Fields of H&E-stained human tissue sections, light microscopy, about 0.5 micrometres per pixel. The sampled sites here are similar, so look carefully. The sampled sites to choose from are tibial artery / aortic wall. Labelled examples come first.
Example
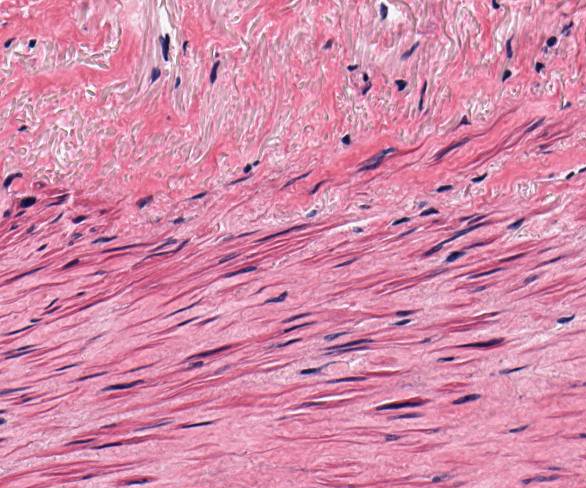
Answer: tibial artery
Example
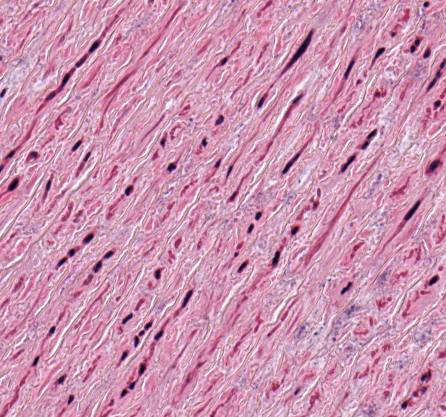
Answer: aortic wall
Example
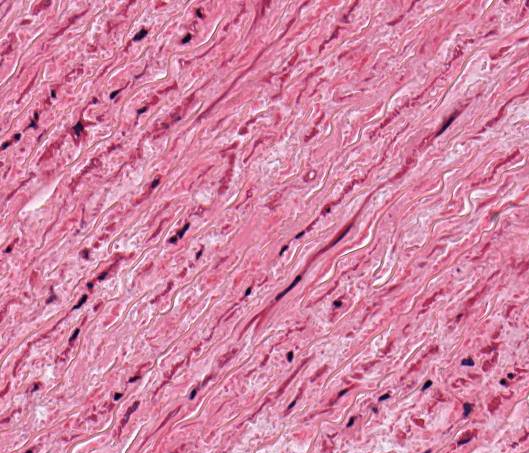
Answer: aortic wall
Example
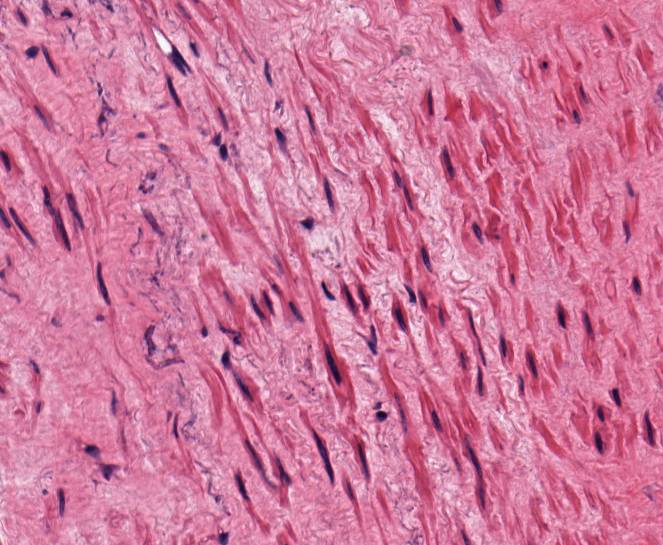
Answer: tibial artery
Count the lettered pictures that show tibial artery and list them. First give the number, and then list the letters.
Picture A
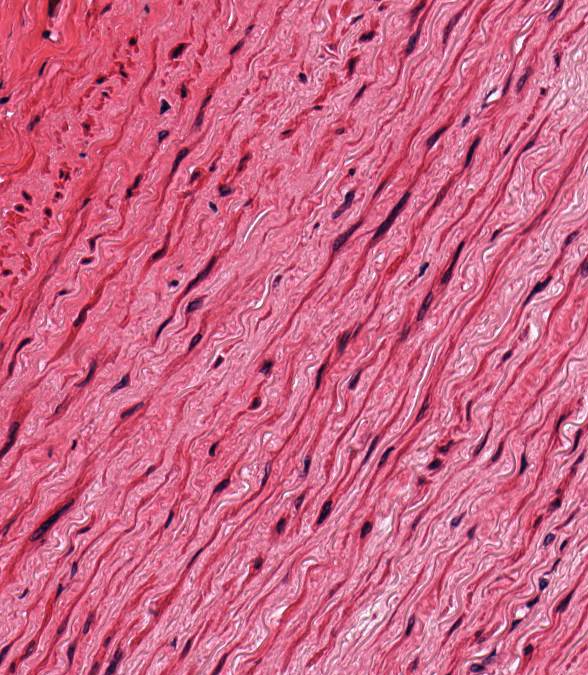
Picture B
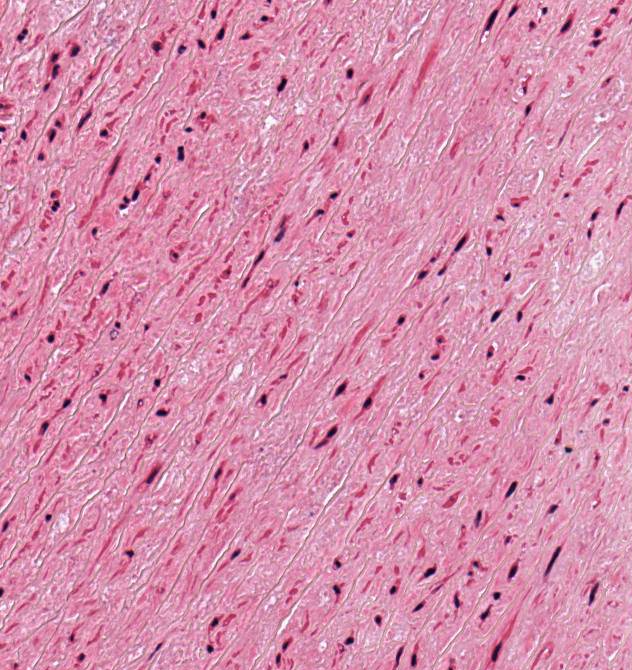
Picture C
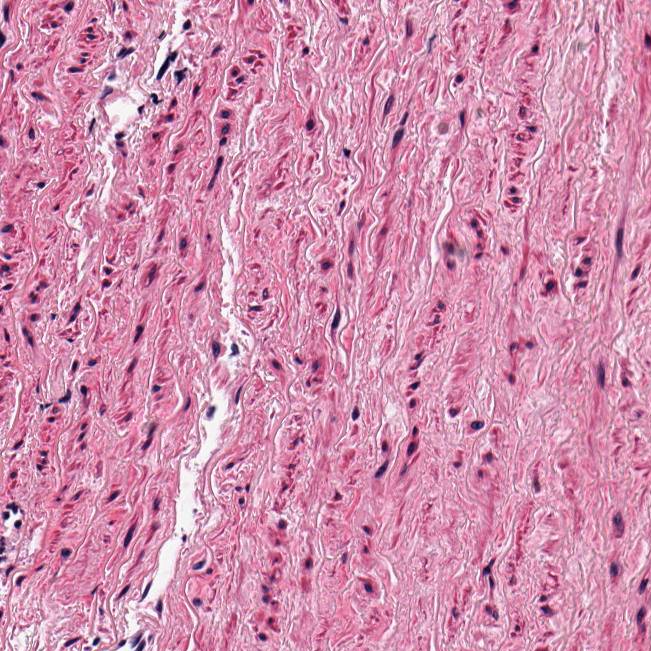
0, none of them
